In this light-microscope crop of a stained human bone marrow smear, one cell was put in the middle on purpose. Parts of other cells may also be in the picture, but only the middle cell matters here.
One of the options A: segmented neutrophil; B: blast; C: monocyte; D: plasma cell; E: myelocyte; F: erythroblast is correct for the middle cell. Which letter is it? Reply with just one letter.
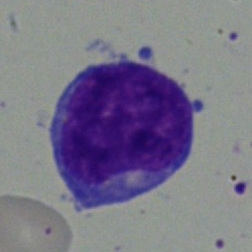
B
